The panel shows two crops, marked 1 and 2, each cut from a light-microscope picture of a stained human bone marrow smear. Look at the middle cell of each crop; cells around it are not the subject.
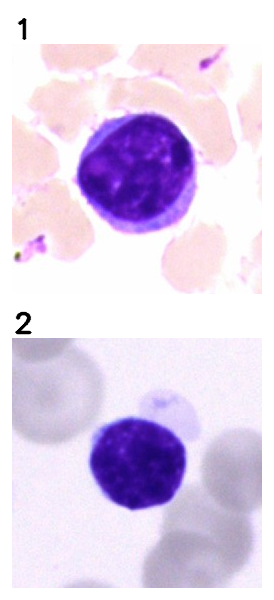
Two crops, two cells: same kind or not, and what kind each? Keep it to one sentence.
Yes, the two cells in the two crops are lymphocytes.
